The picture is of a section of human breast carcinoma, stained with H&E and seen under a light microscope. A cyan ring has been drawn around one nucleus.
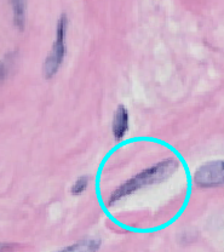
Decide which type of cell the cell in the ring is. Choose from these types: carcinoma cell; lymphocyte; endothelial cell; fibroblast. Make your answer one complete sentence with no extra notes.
The expected answer is simply that the cell in the ring is an endothelial cell.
